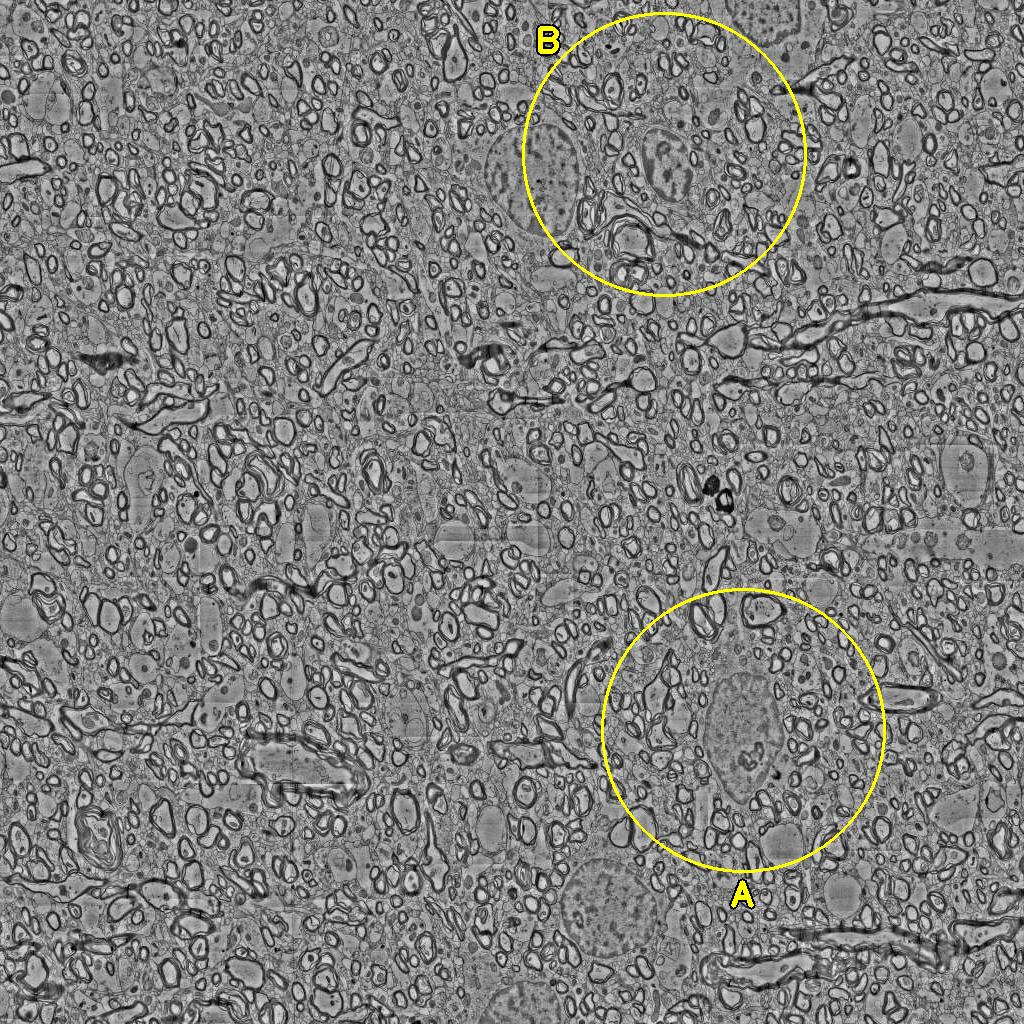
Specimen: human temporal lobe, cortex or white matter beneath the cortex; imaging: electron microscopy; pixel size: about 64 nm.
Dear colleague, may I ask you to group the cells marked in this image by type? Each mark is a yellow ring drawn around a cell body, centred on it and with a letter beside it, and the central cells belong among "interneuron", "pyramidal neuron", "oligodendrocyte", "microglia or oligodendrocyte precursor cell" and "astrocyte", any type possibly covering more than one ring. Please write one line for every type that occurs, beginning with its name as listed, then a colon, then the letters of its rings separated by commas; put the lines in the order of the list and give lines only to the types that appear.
oligodendrocyte: A
microglia or oligodendrocyte precursor cell: B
